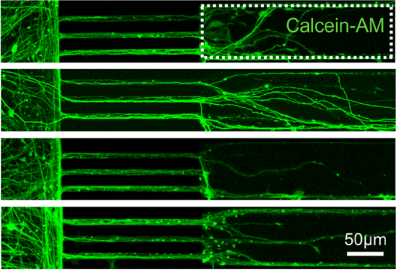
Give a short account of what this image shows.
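Green-filled neuronal processes form a dense network in the left compartment and pass as thin fibres along narrow parallel channels. Where the channels open into the right compartment the fibres fan out and branch over varying areas. In some strips small rounded bright bodies lie among the fibres in the right compartment.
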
